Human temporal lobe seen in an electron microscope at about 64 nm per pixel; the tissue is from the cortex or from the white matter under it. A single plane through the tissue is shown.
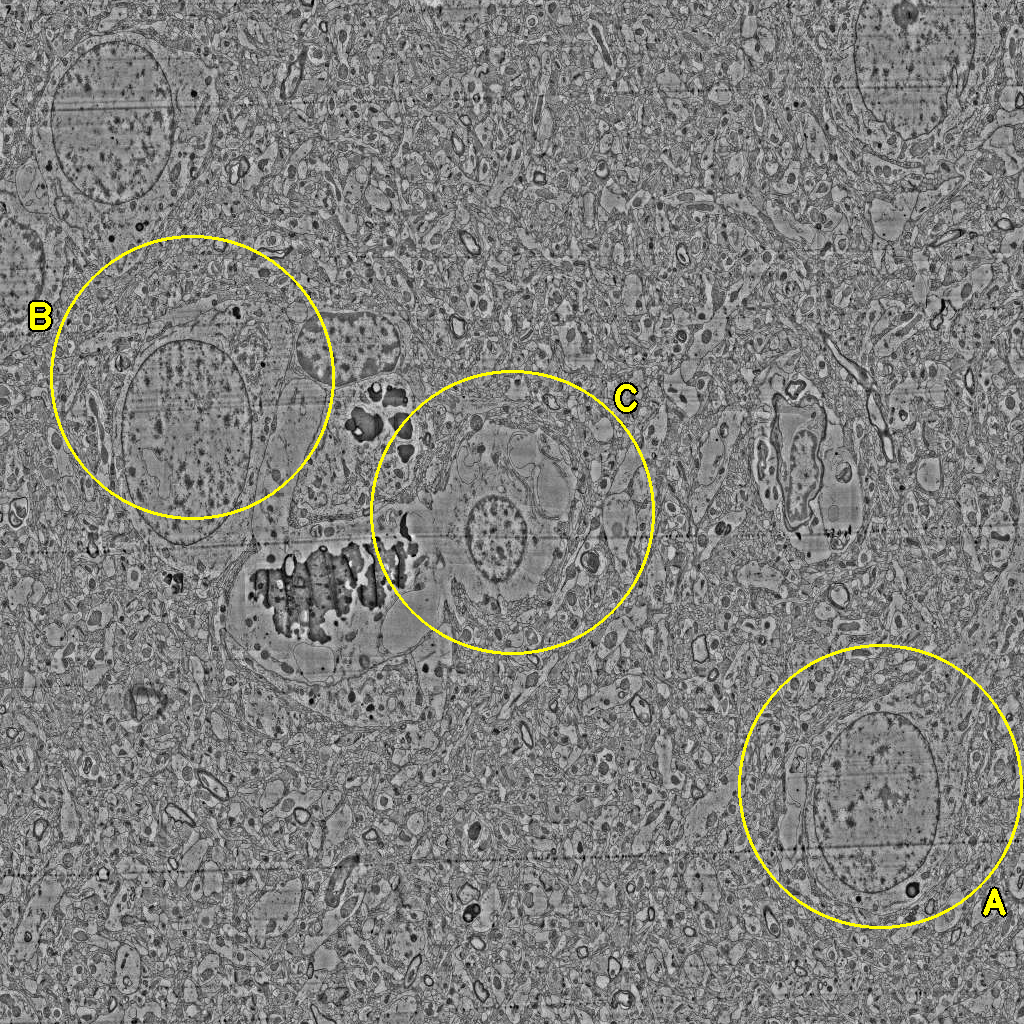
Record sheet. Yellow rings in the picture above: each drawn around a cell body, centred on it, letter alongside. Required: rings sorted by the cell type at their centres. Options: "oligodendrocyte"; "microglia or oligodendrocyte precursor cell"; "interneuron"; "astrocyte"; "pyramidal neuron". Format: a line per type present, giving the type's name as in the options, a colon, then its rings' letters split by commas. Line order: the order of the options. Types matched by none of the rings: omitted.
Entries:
astrocyte: C
pyramidal neuron: A, B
